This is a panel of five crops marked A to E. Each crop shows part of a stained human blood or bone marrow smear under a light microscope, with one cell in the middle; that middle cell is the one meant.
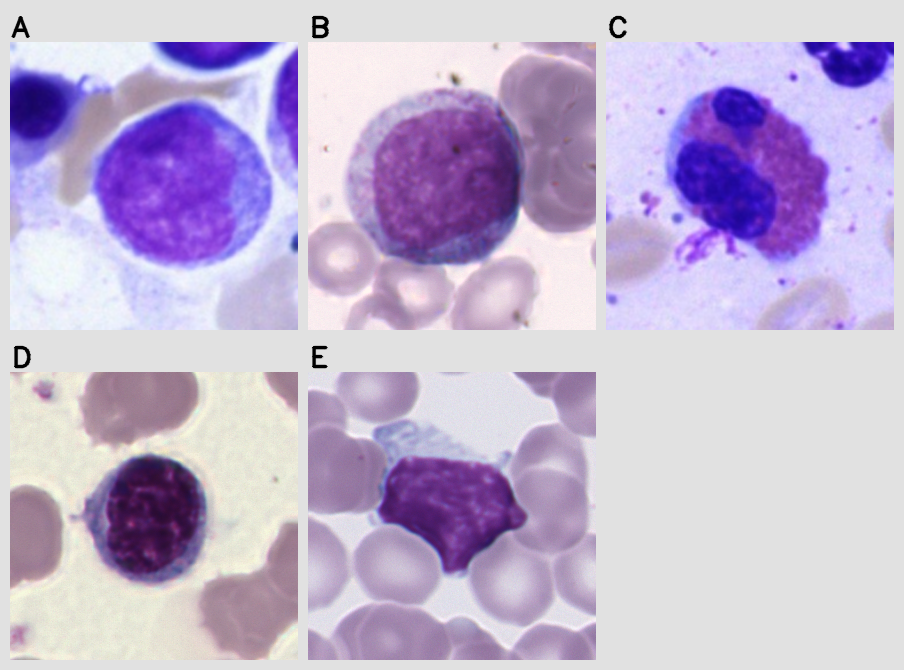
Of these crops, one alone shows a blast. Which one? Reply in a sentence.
Crop A is the right one; it is the crop showing a blast.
